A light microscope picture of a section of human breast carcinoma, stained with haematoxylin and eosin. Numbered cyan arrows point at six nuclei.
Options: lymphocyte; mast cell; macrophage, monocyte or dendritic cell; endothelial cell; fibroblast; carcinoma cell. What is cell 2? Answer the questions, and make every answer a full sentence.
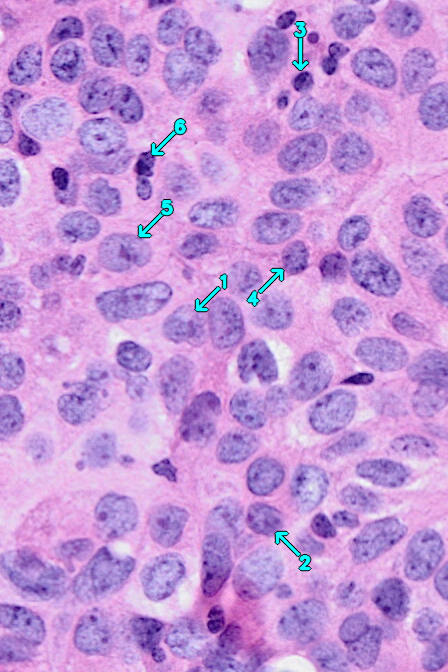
The expected answer is that cell 2 is a carcinoma cell.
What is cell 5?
The correct label for cell 5 is a carcinoma cell.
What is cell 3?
The cell that bears the number 3 is a lymphocyte.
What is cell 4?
In this section, number 4 marks a carcinoma cell.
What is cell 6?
The cell identified by the number 6 is a lymphocyte.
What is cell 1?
In the marked set, the cell given number 1 is a carcinoma cell.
